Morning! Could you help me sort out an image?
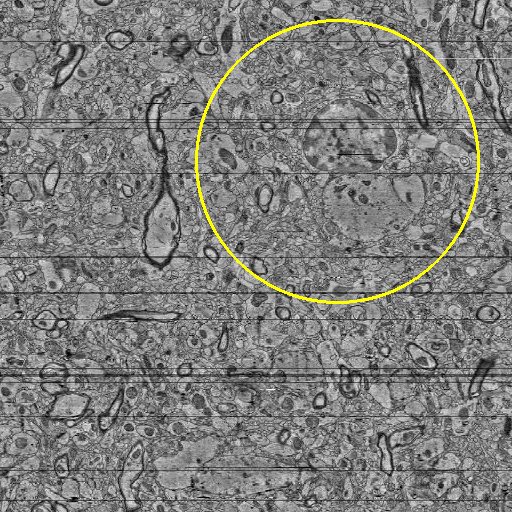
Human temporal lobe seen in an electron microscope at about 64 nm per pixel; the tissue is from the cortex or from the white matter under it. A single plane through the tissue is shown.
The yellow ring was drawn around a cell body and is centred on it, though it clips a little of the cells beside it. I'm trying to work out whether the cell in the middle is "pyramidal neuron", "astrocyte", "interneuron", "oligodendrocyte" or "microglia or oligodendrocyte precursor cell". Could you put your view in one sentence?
The ringed cell body is that of a microglial cell or oligodendrocyte precursor cell.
